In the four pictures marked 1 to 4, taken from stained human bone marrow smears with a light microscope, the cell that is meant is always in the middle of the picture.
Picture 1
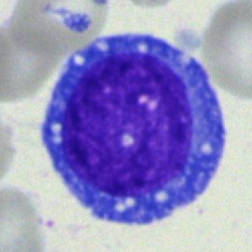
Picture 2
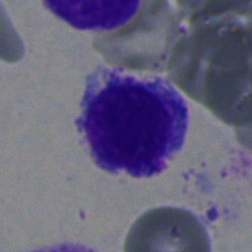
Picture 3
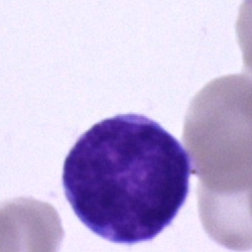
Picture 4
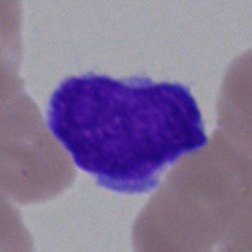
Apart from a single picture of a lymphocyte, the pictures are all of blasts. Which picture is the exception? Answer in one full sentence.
It is picture 2 that shows the lymphocyte.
